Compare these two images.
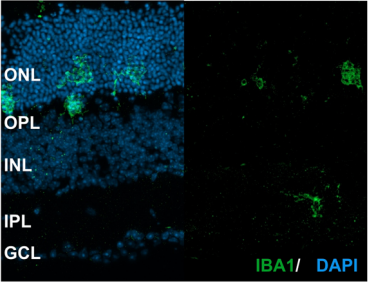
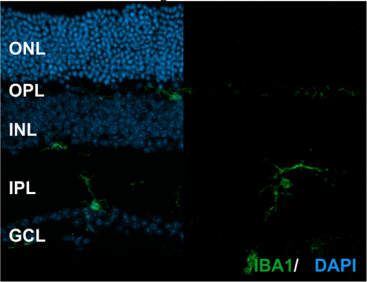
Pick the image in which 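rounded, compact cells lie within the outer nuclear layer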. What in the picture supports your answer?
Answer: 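Second image: the thick outer band of blue nuclei contains no green cells; green branching cells lie only in deeper layers. First image: several rounded green cell bodies sit within the thick outer band of blue nuclei. So: the first image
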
